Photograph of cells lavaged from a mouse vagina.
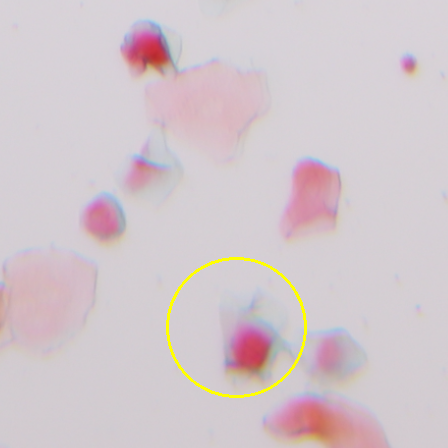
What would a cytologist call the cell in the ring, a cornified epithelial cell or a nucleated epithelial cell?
A cytologist would call it a nucleated epithelial cell.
